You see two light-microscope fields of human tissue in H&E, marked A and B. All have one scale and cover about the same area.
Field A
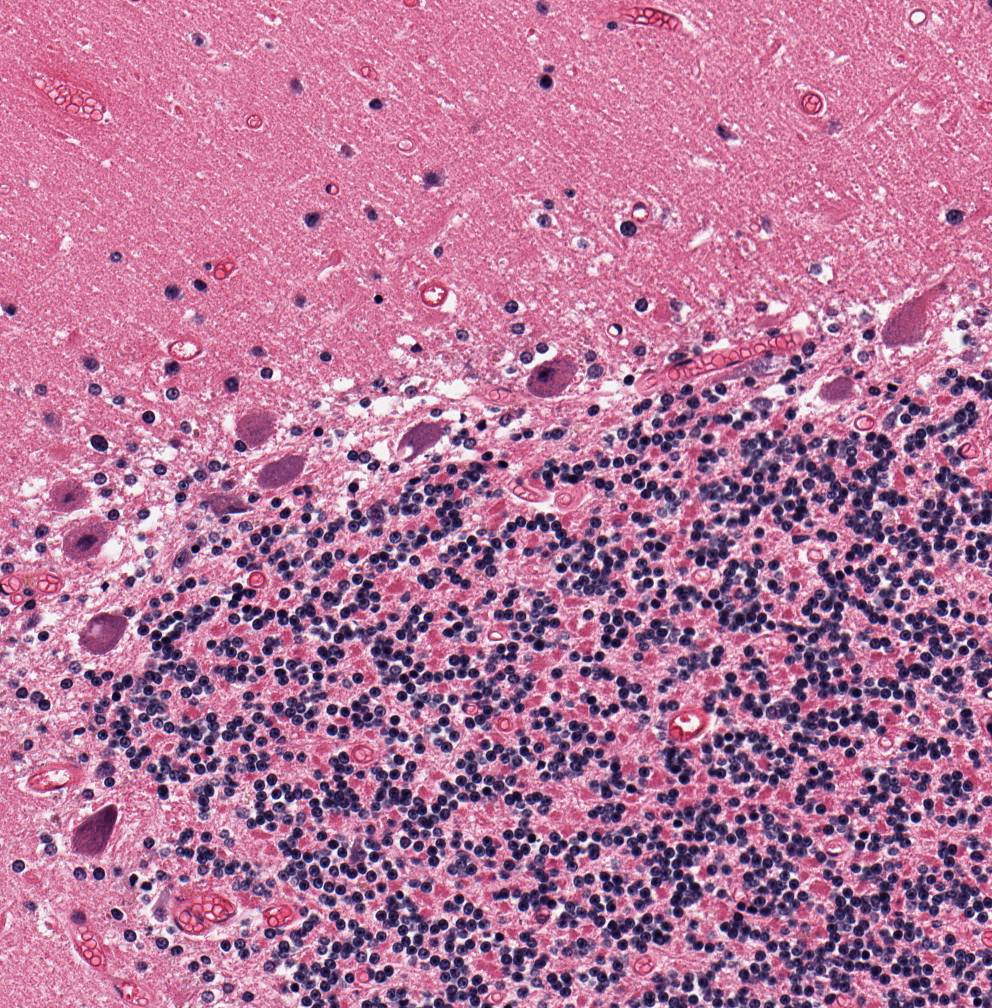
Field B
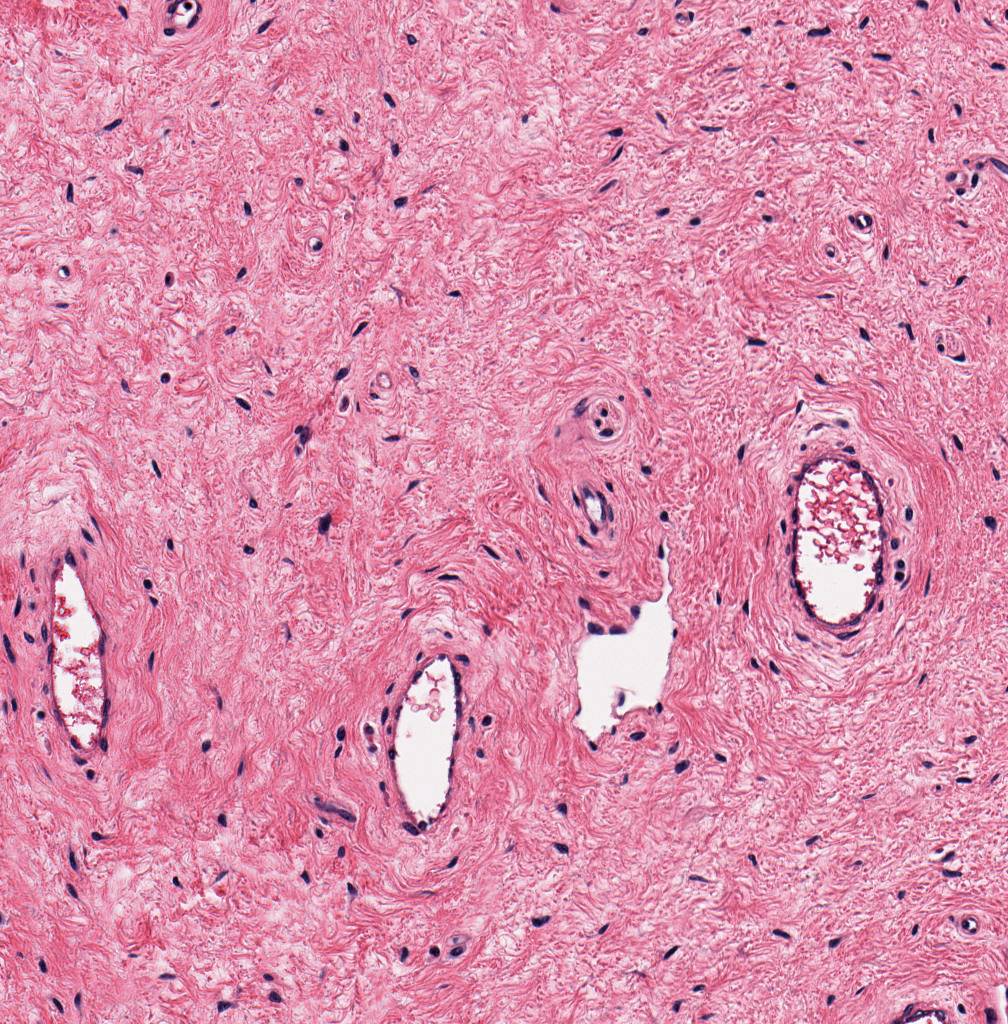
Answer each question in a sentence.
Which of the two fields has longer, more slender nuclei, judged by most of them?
The nuclei are more elongated in field B.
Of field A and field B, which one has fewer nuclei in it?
It is field B that has fewer nuclei in it.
